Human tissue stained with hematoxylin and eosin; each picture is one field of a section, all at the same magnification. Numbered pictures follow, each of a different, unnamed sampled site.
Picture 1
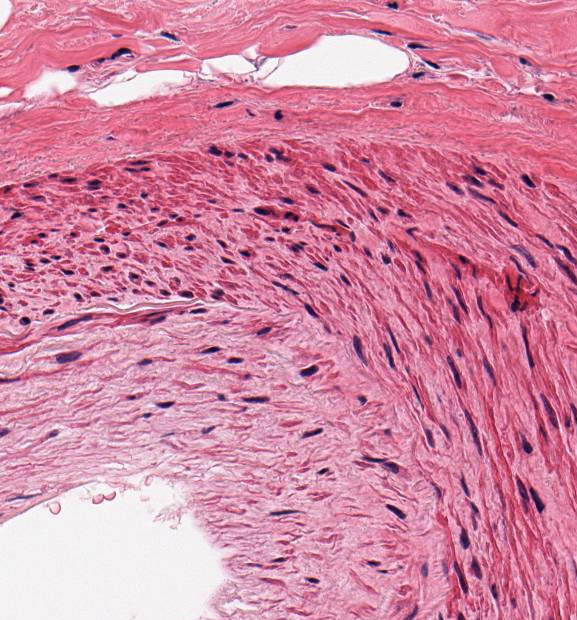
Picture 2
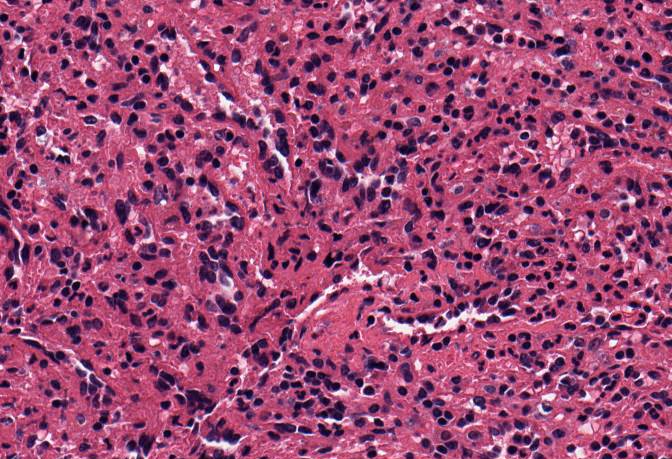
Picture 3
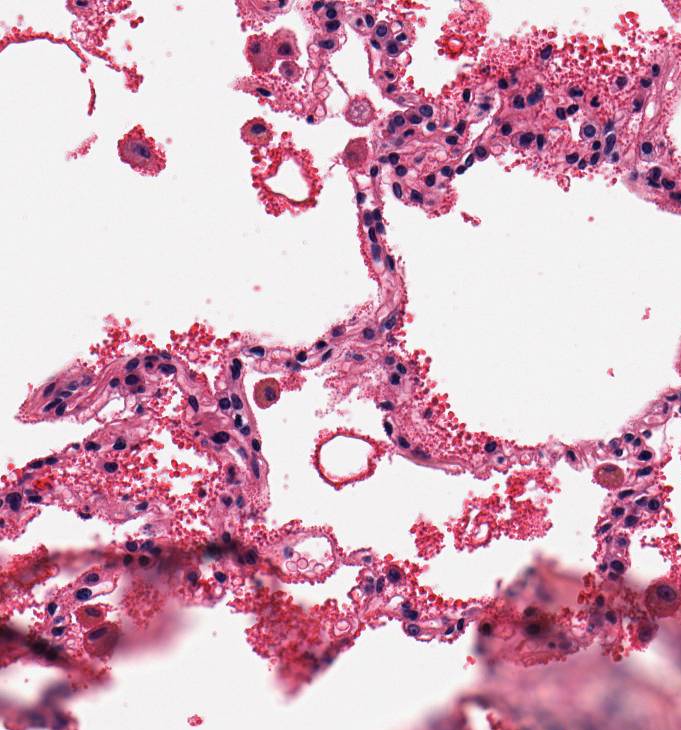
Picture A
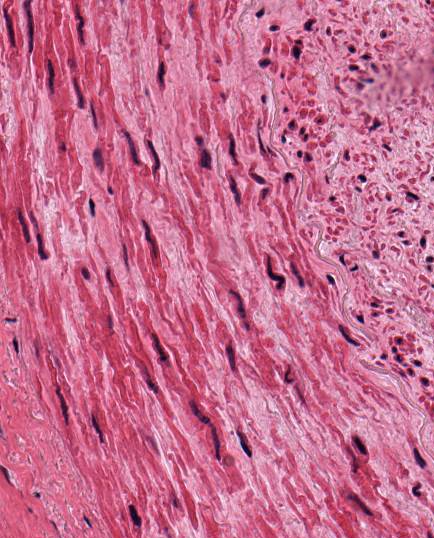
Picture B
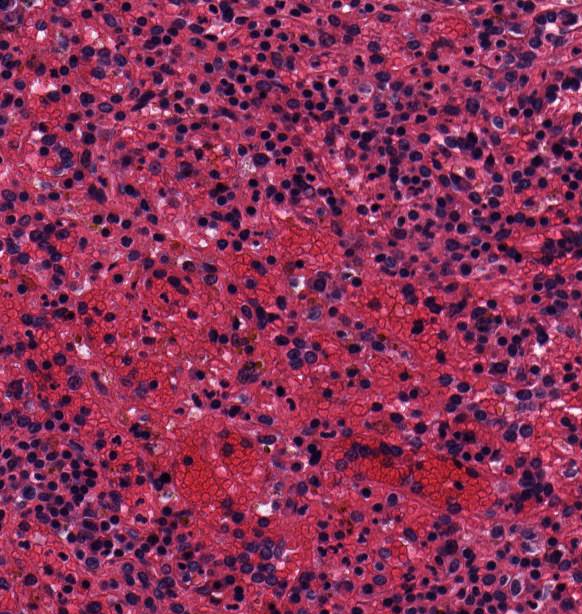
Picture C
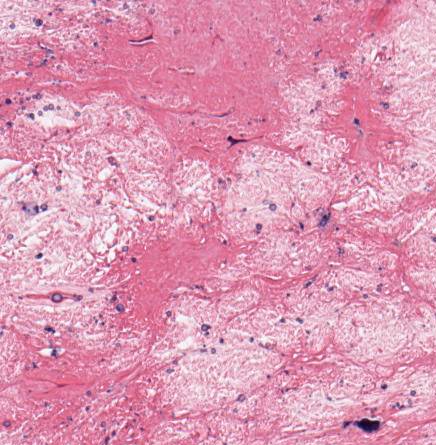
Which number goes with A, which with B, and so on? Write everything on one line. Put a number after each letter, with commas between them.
A 1, B 2, C 1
